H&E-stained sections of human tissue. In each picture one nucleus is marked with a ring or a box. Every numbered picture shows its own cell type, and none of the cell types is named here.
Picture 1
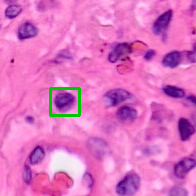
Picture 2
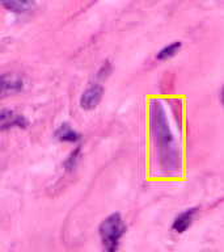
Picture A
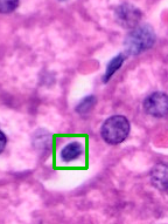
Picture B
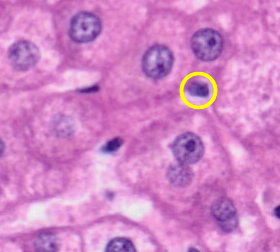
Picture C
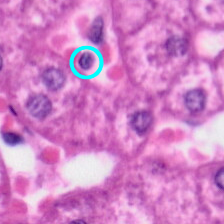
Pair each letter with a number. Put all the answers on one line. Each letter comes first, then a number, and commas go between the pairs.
A 1, B 2, C 1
